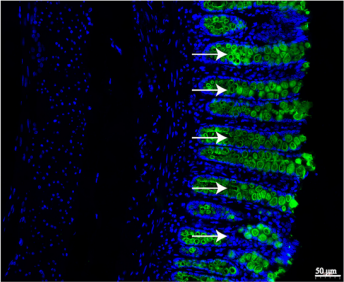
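This is colon mucosa with parallel crypts outlined by blue nuclei, and many goblet cells whose round cytoplasmic contents glow green. The green cells are clustered along the crypts, often several per crypt, appearing as bright circular vesicle-like bodies between the nuclei. The deeper layers to the left show only scattered blue nuclei without green.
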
